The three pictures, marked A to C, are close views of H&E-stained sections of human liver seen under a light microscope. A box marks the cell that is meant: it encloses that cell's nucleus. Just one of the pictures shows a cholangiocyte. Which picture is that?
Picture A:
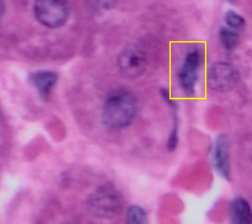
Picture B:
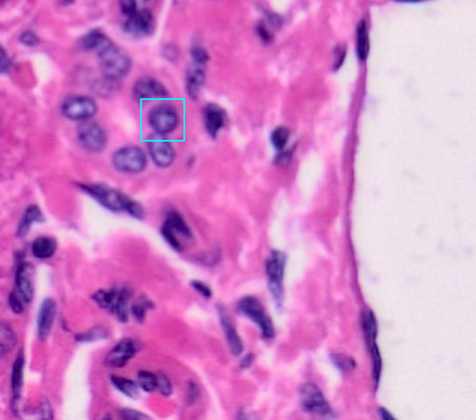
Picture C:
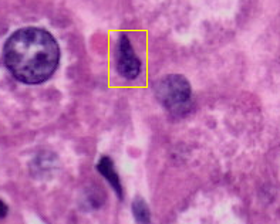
B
